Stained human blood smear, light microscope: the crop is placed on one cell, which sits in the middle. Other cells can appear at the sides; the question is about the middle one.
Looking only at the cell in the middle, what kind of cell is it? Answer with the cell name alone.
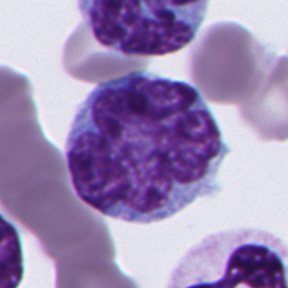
monocyte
